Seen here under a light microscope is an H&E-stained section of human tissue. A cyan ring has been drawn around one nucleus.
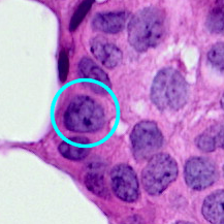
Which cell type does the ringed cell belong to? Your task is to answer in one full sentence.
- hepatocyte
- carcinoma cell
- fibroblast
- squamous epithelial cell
As a matter of cell type, the ringed cell is a carcinoma cell.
